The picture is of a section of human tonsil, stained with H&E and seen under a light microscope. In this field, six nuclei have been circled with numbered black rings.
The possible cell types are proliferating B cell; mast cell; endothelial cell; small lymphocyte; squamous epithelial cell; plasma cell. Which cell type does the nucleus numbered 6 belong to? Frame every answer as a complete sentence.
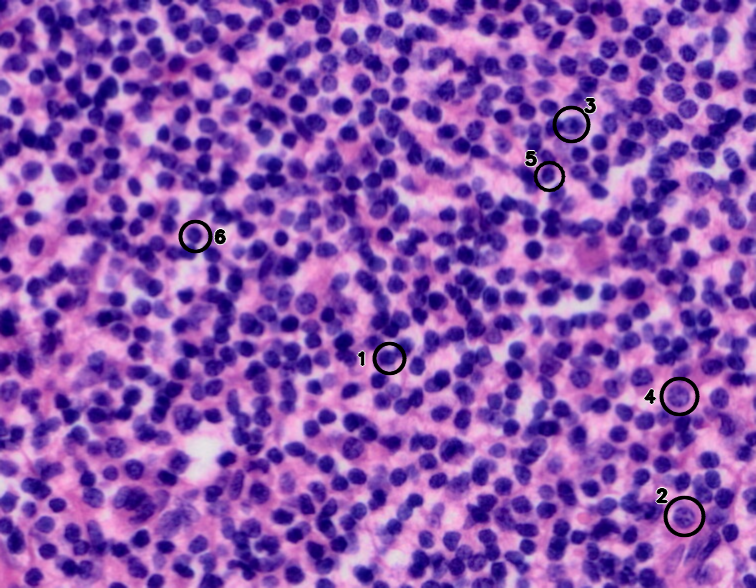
In the marked set, the cell given number 6 is a small lymphocyte.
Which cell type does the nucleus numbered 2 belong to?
The correct label for cell 2 is a plasma cell.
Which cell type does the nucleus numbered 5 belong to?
The cell referenced by the number 5 is a small lymphocyte in this field.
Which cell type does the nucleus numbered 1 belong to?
The marked nucleus 1 is that of a small lymphocyte.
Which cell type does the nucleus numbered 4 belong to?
The identity of cell 4 is that of a plasma cell.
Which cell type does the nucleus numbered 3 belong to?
In this section, the cell numbered 3 is a small lymphocyte.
